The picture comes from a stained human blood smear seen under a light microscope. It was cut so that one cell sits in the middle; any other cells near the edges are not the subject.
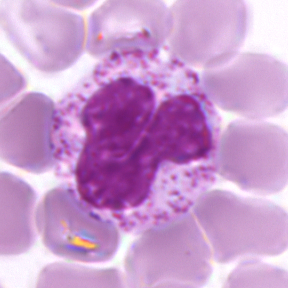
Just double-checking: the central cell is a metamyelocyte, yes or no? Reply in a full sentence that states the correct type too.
No, the centre cell is not a metamyelocyte but a band neutrophil.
